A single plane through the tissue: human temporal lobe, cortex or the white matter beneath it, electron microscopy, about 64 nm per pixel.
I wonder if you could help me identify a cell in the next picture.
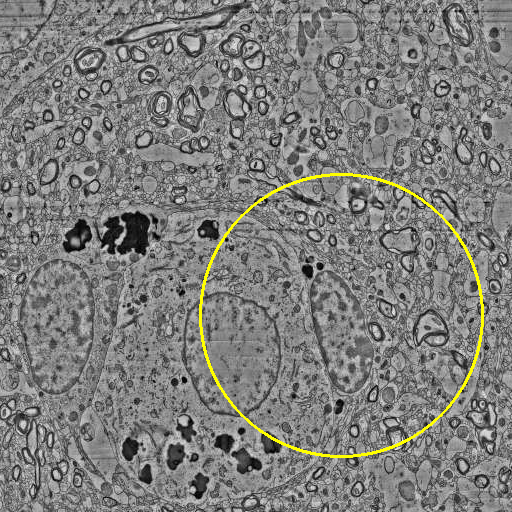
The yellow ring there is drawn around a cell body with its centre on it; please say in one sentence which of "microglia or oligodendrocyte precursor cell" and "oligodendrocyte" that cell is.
The yellow ring is centred on a microglial cell or oligodendrocyte precursor cell.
